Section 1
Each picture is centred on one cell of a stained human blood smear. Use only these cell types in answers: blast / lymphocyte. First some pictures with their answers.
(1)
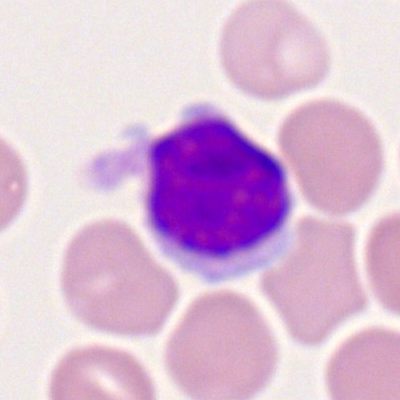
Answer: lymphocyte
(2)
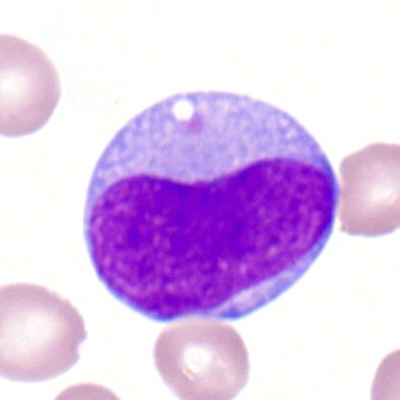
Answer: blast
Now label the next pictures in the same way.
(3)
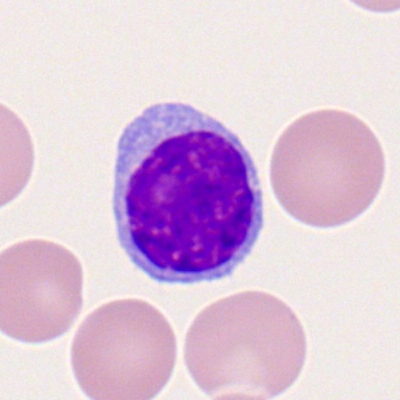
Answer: lymphocyte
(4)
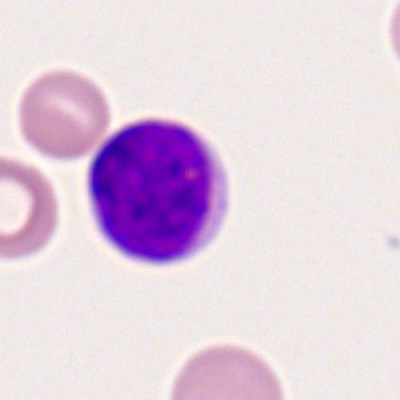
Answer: lymphocyte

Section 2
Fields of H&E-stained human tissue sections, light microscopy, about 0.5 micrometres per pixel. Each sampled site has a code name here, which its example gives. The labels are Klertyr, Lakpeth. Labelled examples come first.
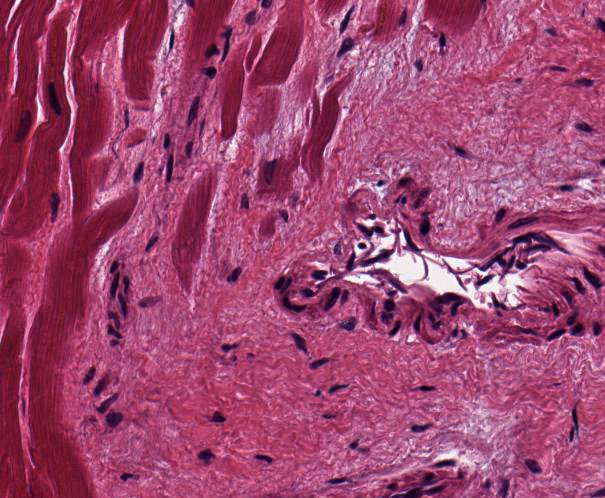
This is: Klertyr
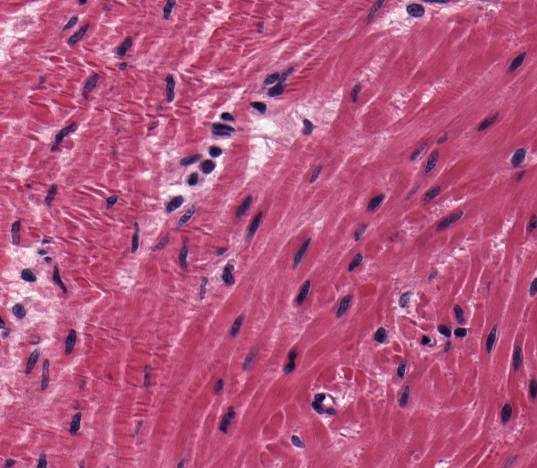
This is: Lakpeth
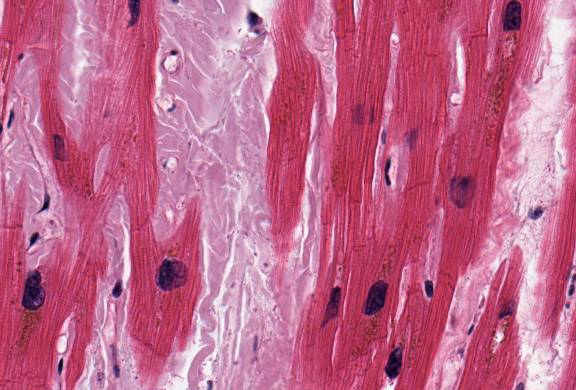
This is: Klertyr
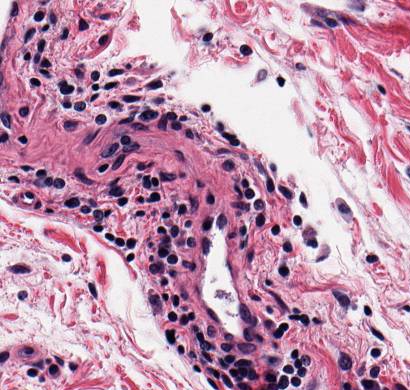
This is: Lakpeth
